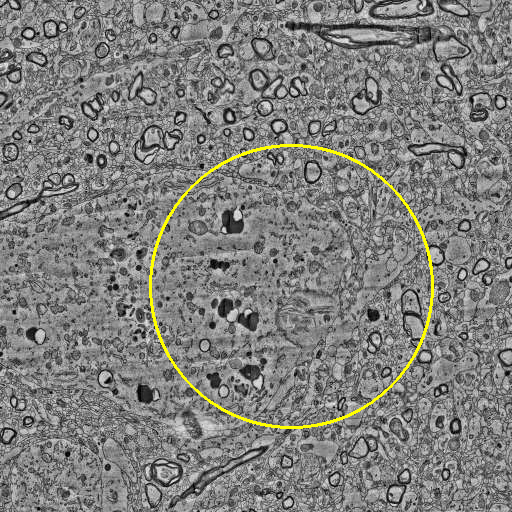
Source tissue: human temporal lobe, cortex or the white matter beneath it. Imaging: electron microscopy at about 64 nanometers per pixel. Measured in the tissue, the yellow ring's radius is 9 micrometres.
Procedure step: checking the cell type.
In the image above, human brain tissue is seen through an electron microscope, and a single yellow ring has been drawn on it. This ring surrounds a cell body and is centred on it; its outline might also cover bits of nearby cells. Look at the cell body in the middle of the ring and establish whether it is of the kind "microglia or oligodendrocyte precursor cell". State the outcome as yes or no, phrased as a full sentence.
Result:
No, the cell body at the ring's centre in the image is of another kind.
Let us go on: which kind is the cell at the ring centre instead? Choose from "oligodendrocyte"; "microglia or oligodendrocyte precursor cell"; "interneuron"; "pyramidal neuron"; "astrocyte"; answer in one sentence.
At the centre of the ring sits an oligodendrocyte.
